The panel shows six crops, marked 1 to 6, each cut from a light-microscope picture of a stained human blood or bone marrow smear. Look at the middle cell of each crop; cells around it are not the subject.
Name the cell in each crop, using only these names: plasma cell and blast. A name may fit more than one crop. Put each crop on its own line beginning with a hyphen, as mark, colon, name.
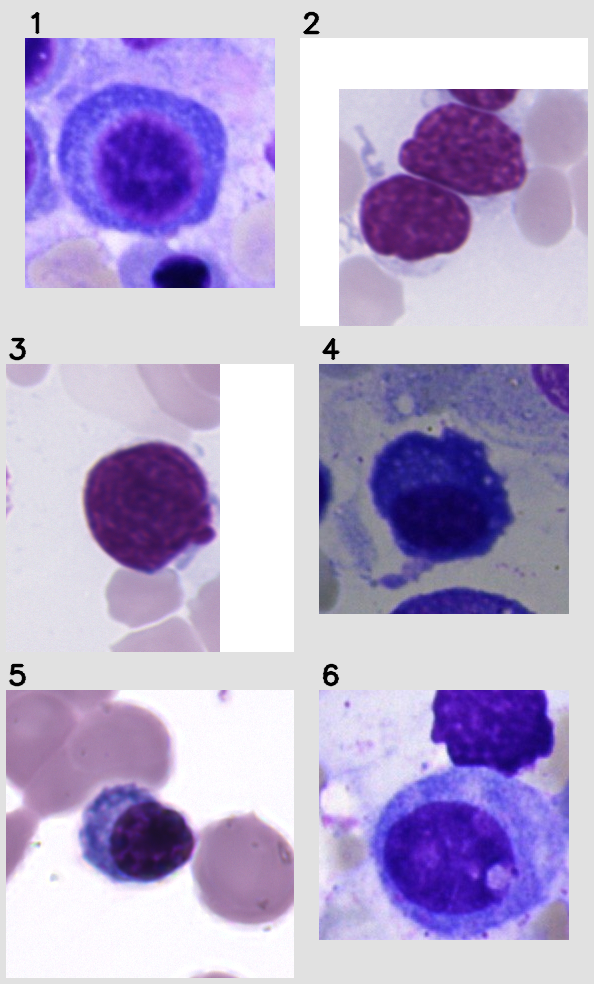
- 1: plasma cell
- 2: blast
- 3: blast
- 4: plasma cell
- 5: plasma cell
- 6: plasma cell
